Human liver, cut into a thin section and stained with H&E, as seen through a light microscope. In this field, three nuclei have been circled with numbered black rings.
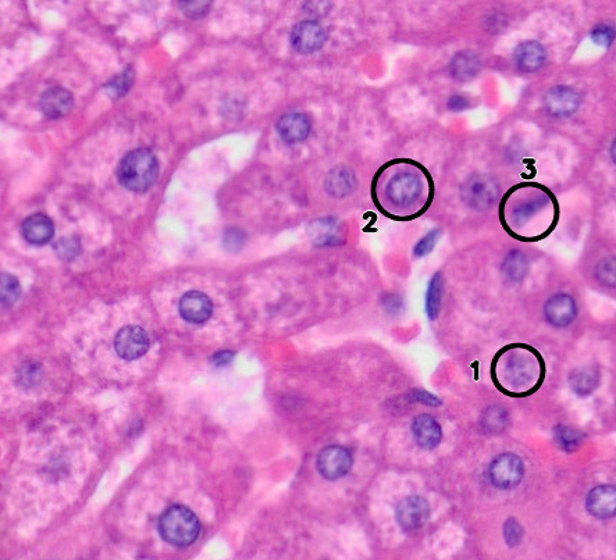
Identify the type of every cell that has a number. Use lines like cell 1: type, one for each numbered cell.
cell 1: hepatocyte
cell 2: hepatocyte
cell 3: endothelial cell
